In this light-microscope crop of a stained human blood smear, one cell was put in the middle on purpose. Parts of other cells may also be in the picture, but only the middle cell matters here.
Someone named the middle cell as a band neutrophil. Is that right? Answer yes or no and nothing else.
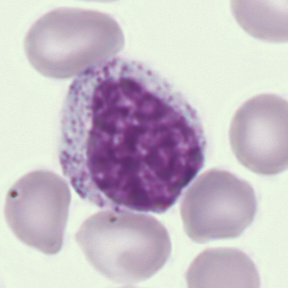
no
